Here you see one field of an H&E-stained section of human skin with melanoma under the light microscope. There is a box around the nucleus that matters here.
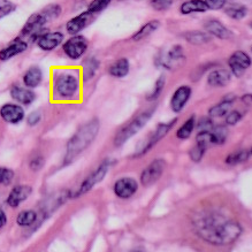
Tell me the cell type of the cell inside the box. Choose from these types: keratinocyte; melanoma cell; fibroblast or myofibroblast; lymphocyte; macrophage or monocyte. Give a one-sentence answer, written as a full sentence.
In short, the cell inside the box on this section is a lymphocyte.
